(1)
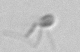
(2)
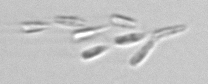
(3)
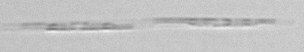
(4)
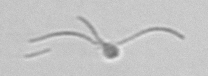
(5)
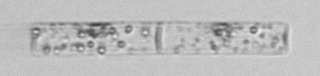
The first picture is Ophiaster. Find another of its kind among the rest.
Picture 4.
